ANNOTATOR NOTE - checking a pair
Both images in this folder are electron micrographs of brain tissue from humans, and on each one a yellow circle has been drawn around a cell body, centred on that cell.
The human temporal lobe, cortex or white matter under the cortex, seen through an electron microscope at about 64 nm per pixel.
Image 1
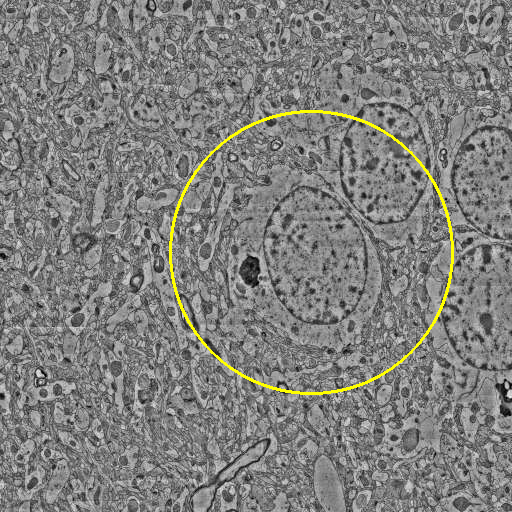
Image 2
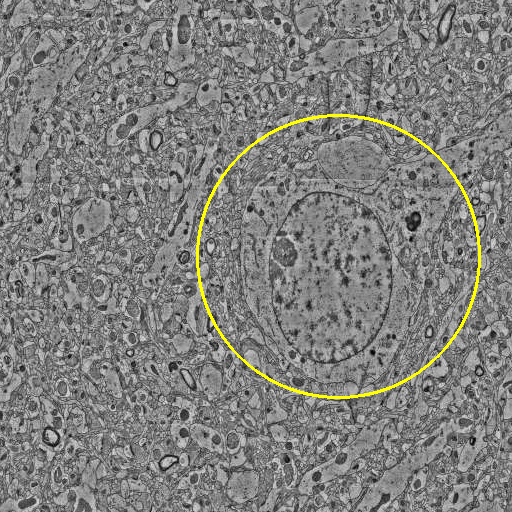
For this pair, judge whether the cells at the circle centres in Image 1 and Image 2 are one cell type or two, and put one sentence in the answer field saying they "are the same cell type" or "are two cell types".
For this pair, the cells at the circle centres in Images 1 and 2 are two cell types.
